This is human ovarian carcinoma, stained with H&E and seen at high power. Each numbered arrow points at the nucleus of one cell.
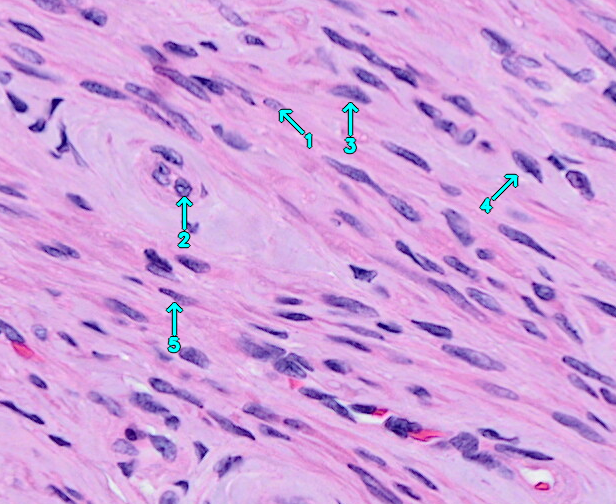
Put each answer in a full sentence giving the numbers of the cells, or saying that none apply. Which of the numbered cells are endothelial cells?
Of all the numbered cells, only one is an endothelial cell, and that is cell 2.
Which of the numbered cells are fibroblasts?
Just one of the numbered cells is a fibroblast, namely number 4.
